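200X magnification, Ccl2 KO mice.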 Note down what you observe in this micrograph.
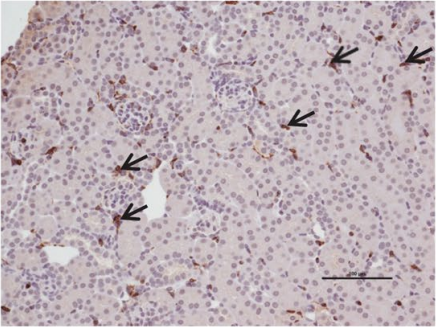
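Renal cortex made up mostly of closely packed tubules with pale pink cytoplasm and round blue nuclei, with a few glomeruli seen as round tufts of denser blue nuclei. Small, single brown-stained cells lie scattered in the narrow interstitium between tubules, some elongated along tubular walls. These brown cells are few and do not form large clusters. A few tubular lumina are dilated and appear empty.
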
